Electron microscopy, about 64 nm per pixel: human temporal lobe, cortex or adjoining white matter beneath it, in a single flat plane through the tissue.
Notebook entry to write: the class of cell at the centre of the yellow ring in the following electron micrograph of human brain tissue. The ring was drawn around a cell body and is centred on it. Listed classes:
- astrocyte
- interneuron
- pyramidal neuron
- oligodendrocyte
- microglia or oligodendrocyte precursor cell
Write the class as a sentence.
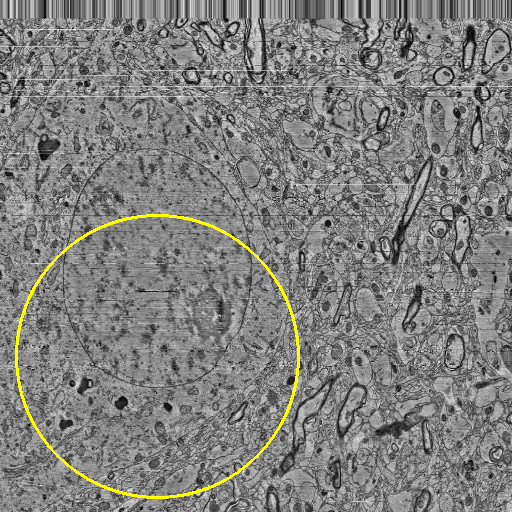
The yellow ring sits on a pyramidal neuron.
